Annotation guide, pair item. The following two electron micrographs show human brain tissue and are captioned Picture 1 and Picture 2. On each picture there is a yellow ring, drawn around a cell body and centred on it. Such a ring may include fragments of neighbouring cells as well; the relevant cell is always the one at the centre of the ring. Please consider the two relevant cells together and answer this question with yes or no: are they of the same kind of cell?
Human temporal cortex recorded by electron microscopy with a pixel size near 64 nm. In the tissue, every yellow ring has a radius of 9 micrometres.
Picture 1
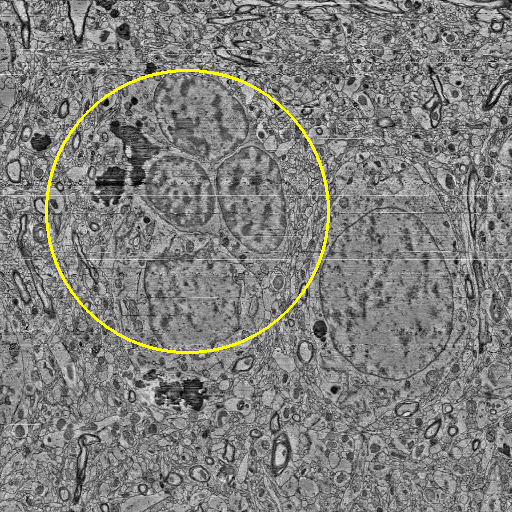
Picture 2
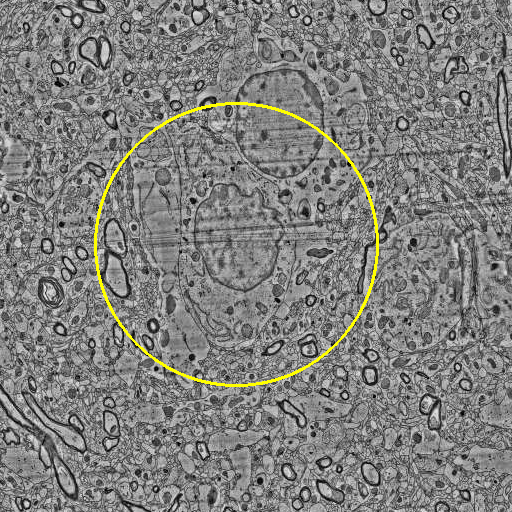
no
